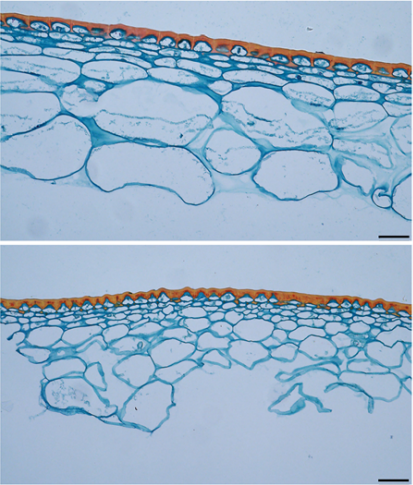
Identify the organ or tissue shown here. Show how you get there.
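An orange-stained cuticle covers the outer surface. Small flattened cells lie beneath the surface. Large thin-walled vacuolated cells fill the deeper layers. On this evidence: pericarp.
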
